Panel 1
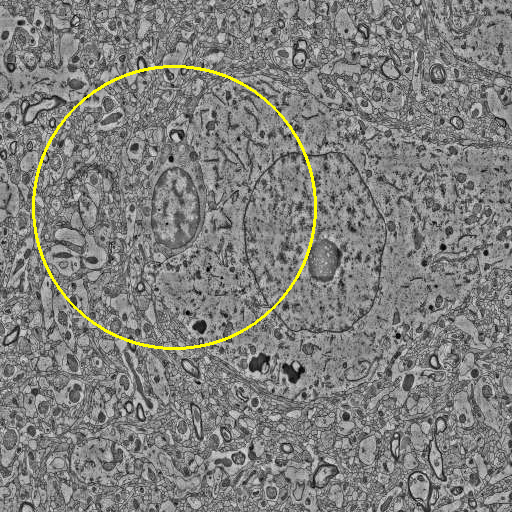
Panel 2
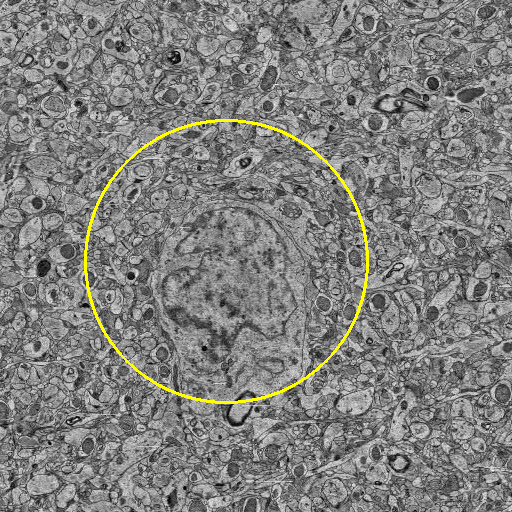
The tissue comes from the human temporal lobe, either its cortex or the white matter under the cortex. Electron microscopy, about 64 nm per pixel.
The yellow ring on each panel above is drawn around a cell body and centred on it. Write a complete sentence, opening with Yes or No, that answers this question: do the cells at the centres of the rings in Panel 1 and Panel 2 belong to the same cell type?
No, the two cells belong to two cell types.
